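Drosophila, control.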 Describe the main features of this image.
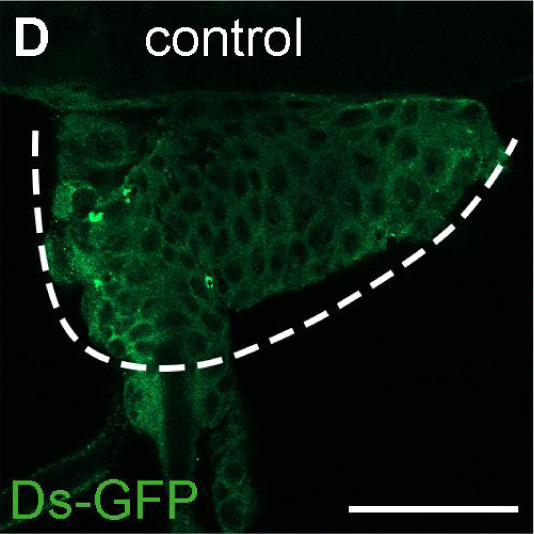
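The cells are small and closely packed. The green signal lines their borders as a polygonal network, and each cell has a dark, round unstained nucleus. Brighter green spots lie at one side of the cluster.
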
